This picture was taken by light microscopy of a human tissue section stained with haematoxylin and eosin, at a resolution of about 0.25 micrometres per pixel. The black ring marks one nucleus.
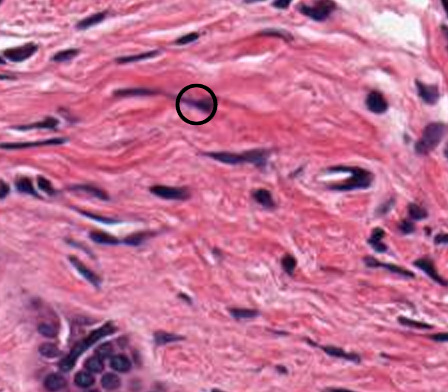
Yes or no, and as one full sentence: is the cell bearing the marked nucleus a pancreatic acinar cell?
No, the marked nucleus is found in a supporting cell instead of in a pancreatic acinar cell.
